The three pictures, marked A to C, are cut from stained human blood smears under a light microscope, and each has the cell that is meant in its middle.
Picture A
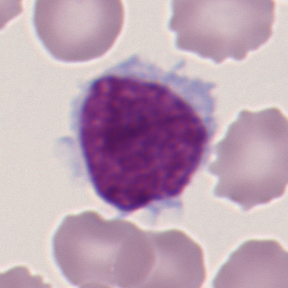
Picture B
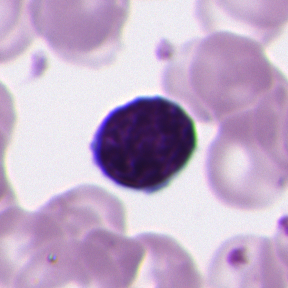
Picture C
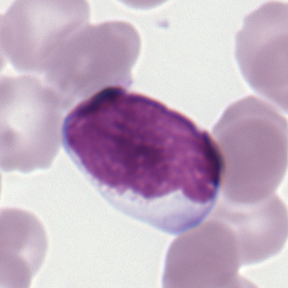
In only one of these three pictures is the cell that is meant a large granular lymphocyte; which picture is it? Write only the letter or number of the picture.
C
